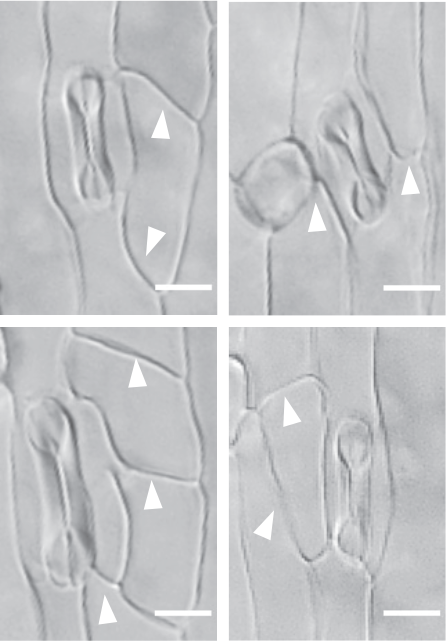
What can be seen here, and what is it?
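These four grey images show leaf epidermis with stomata and the pavement cells around them. Each stoma consists of two narrow guard cells, widened at their ends, flanked by side cells. The pavement cells next to the stomata are long and smooth-walled. Several of these neighbouring cells are crossed by extra walls that cut them into smaller cells, and white arrowheads point to these walls.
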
